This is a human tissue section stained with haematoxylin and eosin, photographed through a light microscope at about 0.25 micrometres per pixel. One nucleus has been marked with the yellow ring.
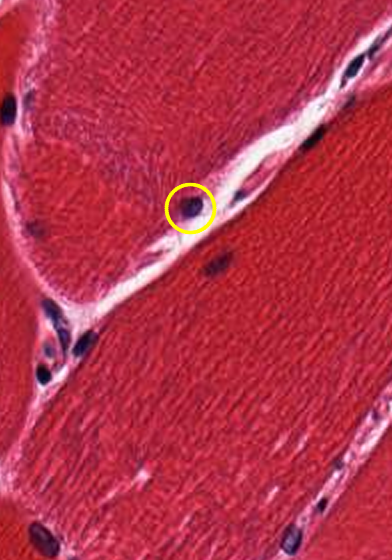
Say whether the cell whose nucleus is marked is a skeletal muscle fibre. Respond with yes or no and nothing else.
yes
